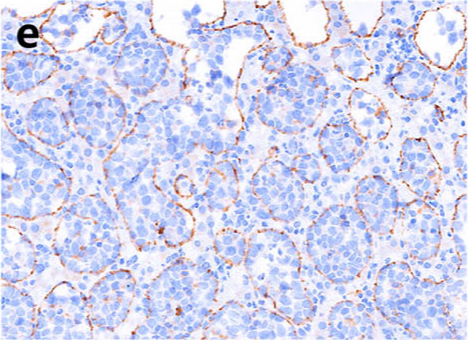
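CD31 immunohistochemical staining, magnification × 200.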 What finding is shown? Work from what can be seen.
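Thin brown lines ring rounded spaces. Clusters of unstained round cells fill the spaces inside the brown rings.
Conclusion: intravascular growth pattern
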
